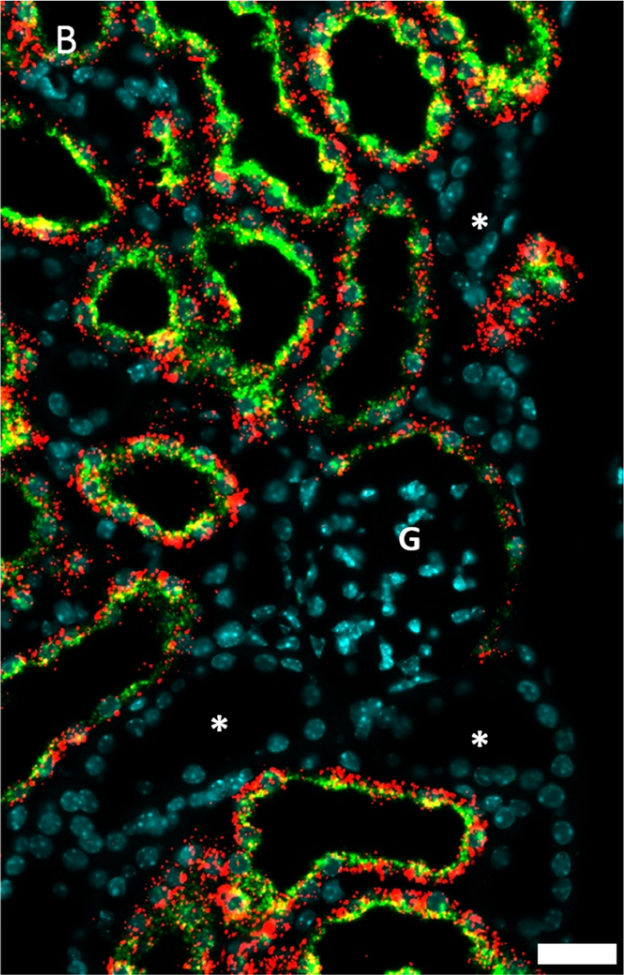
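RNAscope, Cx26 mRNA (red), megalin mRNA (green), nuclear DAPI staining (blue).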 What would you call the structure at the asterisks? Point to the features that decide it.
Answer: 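The asterisks lie among rows of blue nuclei arranged as tubular profiles. The tubules at the asterisks carry no red or green dots, unlike the neighbouring ringed tubules. The answer: other segments of the renal tubule.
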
